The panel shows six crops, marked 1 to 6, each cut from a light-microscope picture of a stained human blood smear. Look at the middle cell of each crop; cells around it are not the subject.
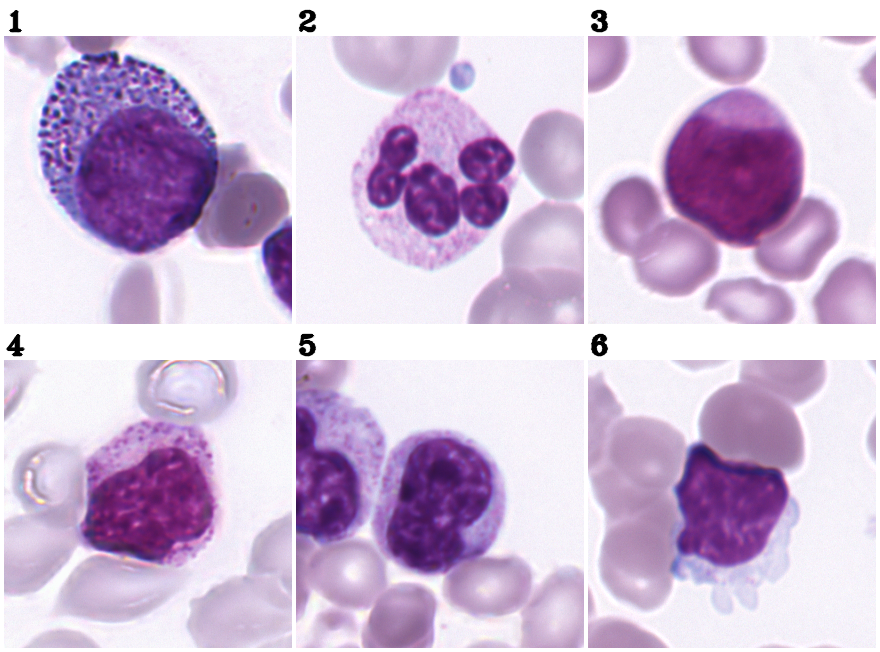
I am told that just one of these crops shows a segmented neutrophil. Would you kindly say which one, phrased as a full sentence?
The correct choice is crop 2, the one showing a segmented neutrophil.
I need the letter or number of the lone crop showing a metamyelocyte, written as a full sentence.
That would be crop 5; it shows a metamyelocyte.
